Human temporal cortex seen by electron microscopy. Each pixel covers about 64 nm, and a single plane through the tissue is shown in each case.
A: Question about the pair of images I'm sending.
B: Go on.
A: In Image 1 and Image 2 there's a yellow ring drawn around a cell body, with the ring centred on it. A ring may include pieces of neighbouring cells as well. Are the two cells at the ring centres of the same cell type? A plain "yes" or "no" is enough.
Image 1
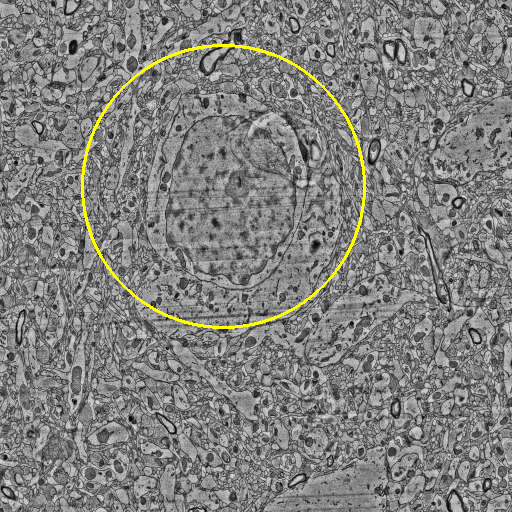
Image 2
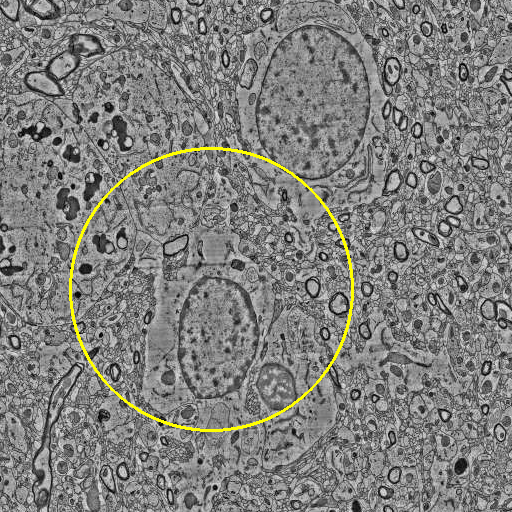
no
